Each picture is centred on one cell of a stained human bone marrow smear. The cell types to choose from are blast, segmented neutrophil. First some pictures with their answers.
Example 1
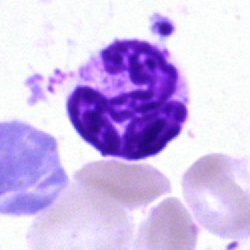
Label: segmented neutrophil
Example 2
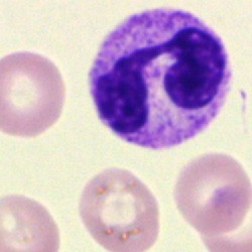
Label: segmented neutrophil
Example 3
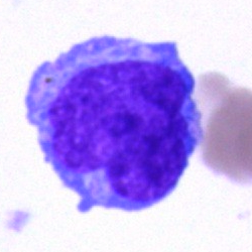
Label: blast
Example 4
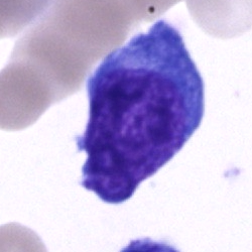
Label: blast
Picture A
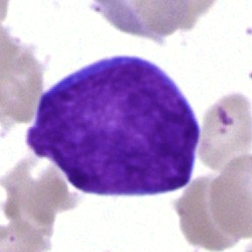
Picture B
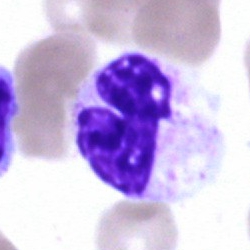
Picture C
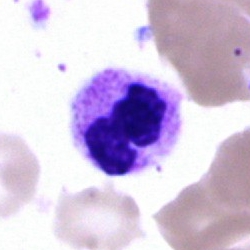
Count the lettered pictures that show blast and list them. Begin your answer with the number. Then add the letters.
1: A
